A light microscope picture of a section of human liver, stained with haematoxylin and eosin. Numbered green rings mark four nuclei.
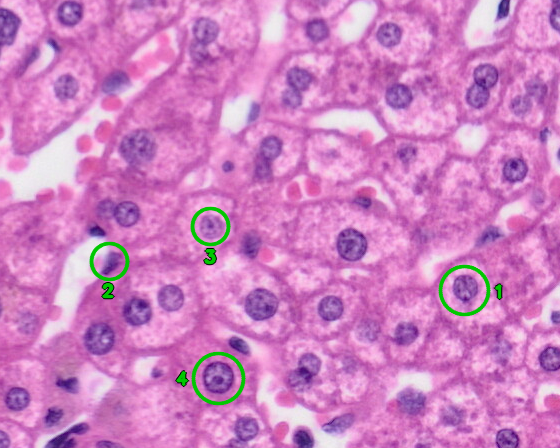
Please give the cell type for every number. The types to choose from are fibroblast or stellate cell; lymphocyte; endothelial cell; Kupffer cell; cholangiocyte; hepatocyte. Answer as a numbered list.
1. hepatocyte
2. endothelial cell
3. hepatocyte
4. hepatocyte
